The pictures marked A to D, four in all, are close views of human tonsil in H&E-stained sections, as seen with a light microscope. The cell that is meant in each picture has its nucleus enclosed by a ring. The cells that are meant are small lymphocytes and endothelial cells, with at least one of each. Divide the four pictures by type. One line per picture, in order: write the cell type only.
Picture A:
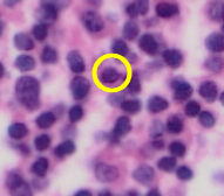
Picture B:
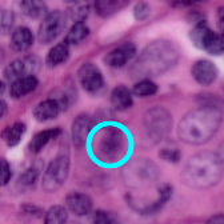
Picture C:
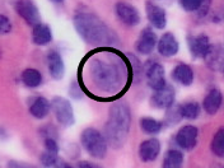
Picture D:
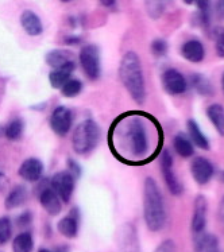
small lymphocyte
endothelial cell
endothelial cell
endothelial cell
